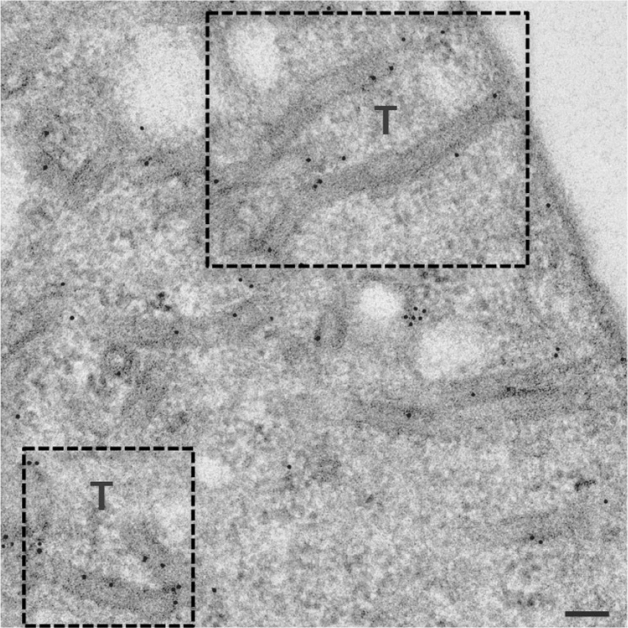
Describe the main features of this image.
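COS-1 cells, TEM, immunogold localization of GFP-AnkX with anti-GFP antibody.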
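This is the cytoplasm of a cultured cell in thin section. Elongated, electron-dense tubular membrane profiles run through a granular cytoplasm, alongside pale round vacuole-like spaces and small vesicles. Black gold particles lie along and beside the tubular membranes, and a few more are scattered elsewhere.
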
